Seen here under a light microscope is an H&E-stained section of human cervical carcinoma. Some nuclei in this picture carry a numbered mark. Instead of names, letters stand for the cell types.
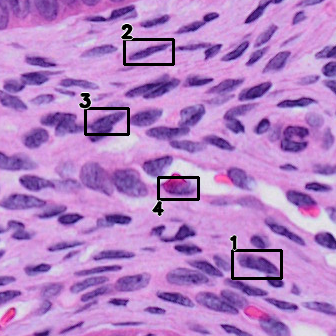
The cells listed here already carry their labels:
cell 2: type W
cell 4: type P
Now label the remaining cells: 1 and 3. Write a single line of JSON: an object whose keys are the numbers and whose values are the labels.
{"1": "type W", "3": "type W"}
